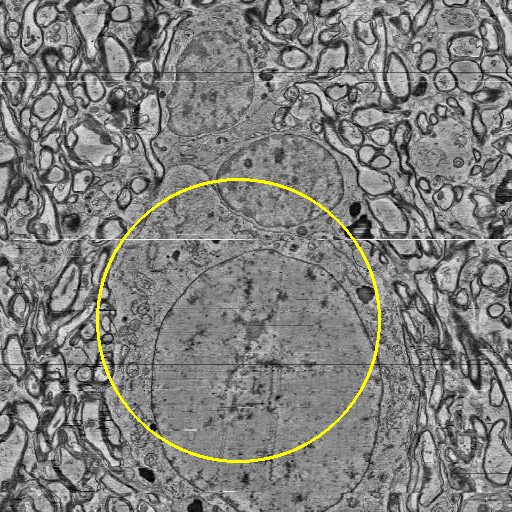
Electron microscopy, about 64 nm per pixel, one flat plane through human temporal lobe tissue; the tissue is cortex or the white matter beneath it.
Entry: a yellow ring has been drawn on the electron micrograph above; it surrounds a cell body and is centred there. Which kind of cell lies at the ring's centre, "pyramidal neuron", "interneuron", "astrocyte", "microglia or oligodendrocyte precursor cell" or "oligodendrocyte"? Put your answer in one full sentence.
The cell sitting at the ring's centre is a pyramidal neuron in the micrograph above.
